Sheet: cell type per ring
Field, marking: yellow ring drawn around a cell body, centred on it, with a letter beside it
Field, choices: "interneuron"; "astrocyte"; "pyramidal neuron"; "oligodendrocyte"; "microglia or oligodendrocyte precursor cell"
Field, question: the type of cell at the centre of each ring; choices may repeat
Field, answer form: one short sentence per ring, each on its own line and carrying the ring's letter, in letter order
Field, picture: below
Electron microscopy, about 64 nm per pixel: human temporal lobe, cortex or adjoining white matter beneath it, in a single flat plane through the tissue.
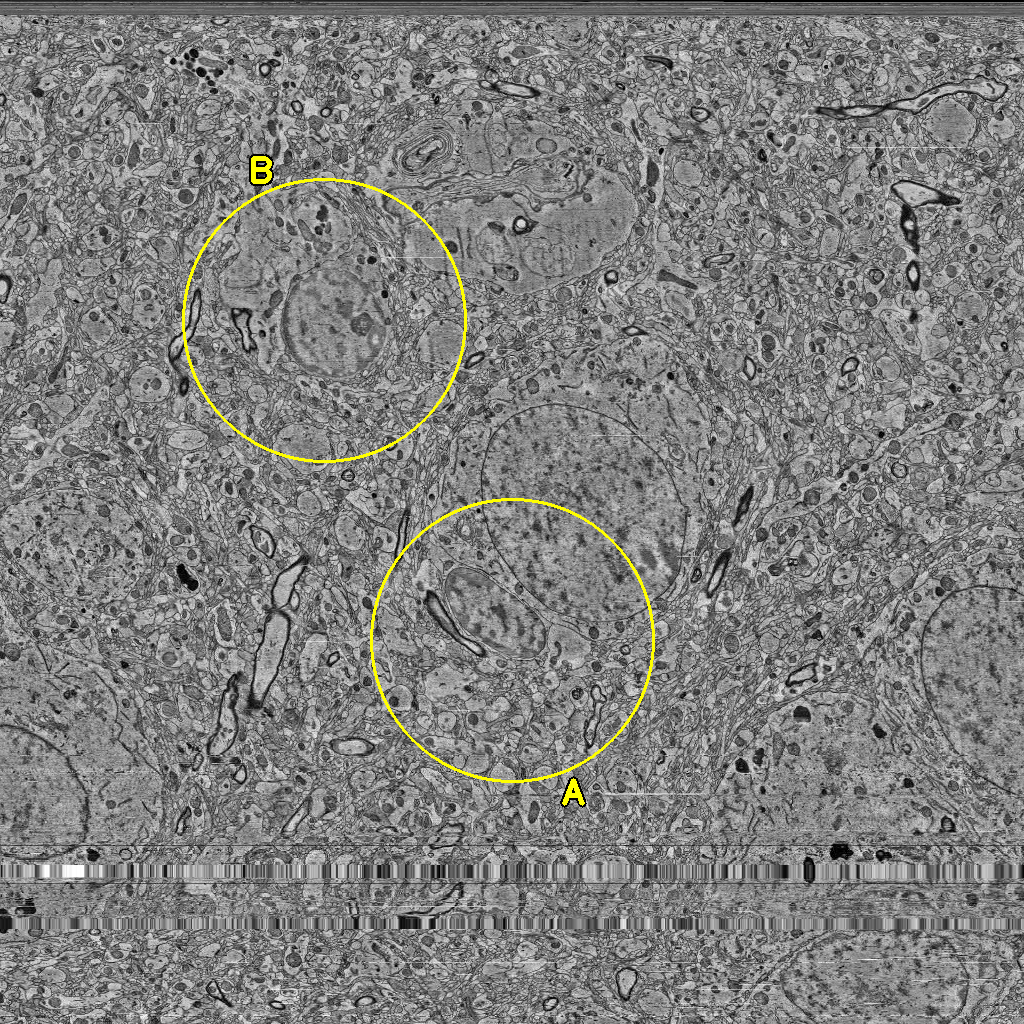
The cell body inside ring A, at its centre, is a microglial cell or oligodendrocyte precursor cell.
The cell body inside ring B, at its centre, is an oligodendrocyte.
